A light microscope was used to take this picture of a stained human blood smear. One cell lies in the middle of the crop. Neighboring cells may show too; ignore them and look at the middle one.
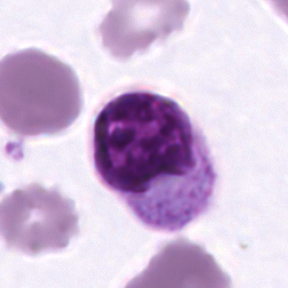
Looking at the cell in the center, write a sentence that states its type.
In this smear crop, the middle cell is a plasma cell.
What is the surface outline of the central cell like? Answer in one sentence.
No surface projections are present; the cell outline is smooth.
